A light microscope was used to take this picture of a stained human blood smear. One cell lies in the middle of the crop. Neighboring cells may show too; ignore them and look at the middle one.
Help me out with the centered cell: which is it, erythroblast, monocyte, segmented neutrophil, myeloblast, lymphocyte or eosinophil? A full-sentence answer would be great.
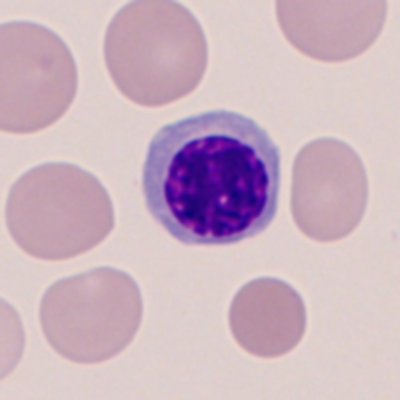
Seen at the centre of the crop is an erythroblast.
